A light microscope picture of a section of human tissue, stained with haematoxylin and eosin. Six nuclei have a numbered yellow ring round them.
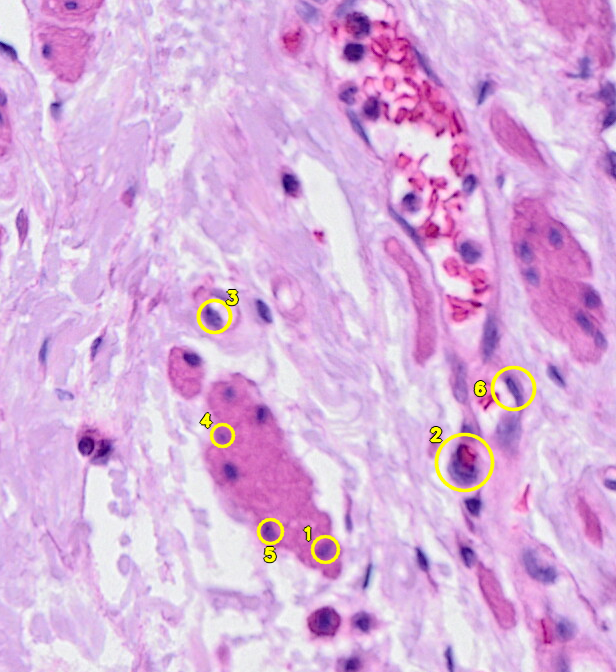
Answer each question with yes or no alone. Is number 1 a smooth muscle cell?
yes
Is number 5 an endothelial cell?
no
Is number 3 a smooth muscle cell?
no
